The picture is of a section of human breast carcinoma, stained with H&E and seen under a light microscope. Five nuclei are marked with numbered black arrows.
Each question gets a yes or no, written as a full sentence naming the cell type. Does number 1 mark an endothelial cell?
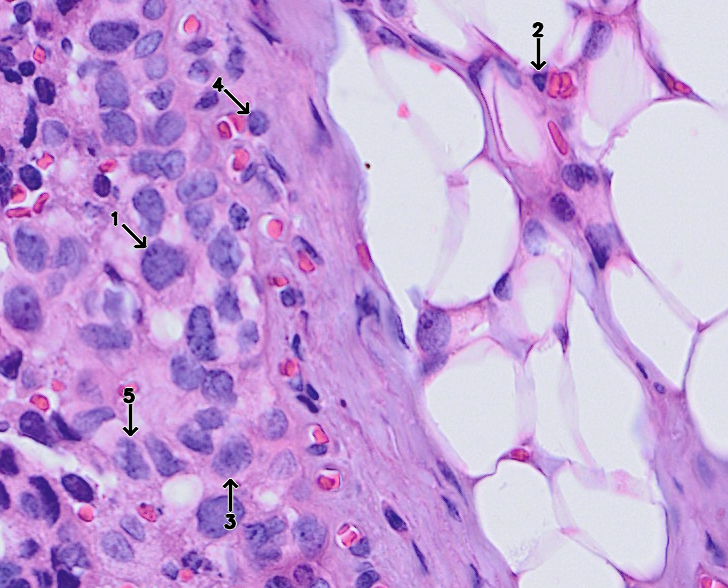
No, the cell given number 1 is a carcinoma cell, not an endothelial cell.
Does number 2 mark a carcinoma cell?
No, the right label for cell 2 is an endothelial cell rather than a carcinoma cell.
